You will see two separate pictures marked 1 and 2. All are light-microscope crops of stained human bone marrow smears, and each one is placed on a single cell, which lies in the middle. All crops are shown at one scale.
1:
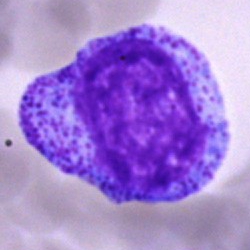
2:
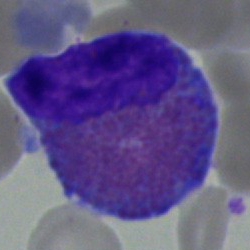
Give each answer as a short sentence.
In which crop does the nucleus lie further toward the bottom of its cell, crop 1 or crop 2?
The nucleus in crop 1 lies further toward the bottom of its cell.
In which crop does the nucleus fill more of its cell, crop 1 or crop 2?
In crop 1 the nucleus takes up the larger part of its cell.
